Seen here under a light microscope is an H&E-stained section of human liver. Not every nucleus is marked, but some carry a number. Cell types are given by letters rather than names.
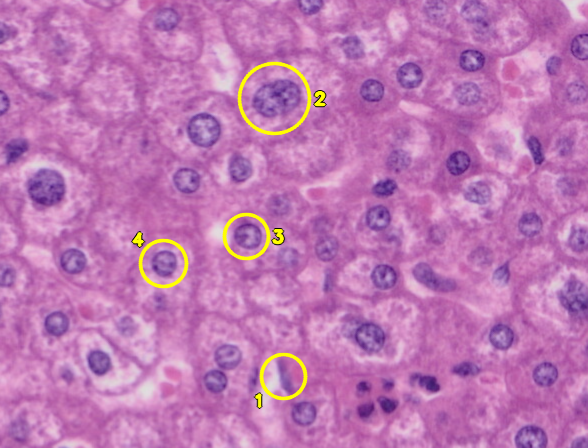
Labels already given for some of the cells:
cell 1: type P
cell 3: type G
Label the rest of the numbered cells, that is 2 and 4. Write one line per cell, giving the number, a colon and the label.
2: type G
4: type G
